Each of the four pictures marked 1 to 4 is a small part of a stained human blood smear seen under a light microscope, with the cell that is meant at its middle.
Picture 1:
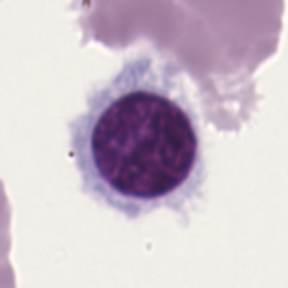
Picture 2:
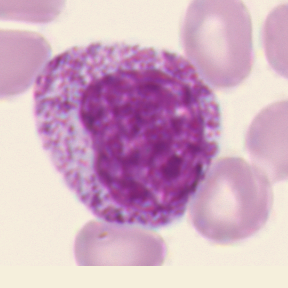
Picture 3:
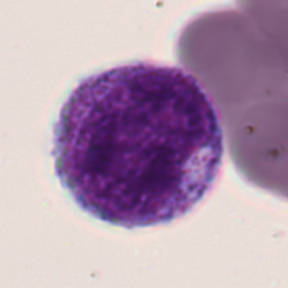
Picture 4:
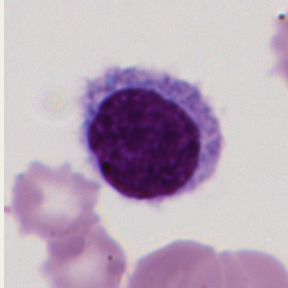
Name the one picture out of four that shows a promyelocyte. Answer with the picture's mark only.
3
